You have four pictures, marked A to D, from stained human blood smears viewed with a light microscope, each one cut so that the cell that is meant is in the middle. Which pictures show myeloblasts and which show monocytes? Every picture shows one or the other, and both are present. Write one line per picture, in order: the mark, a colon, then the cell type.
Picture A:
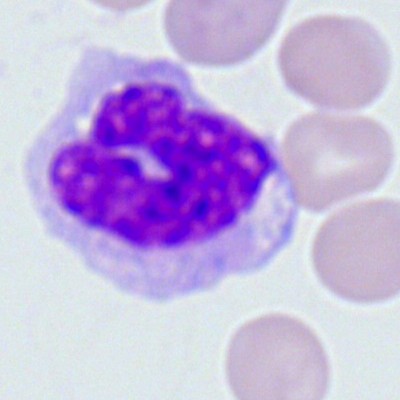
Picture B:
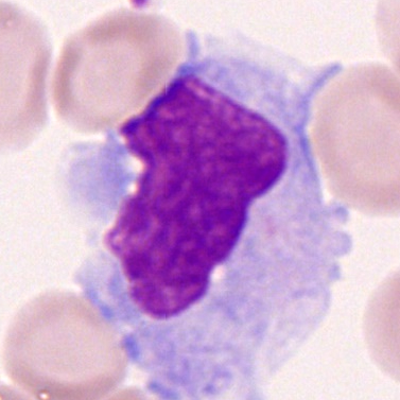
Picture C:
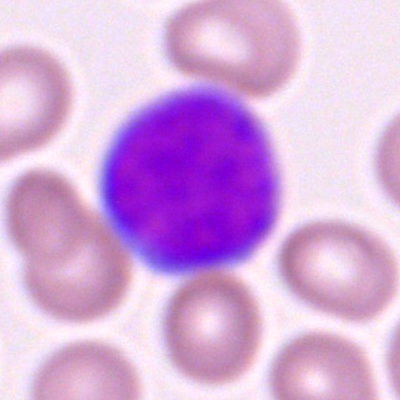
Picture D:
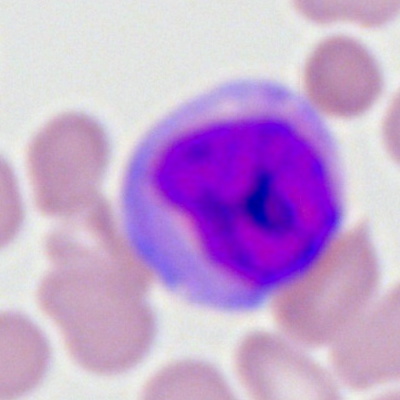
A: monocyte
B: monocyte
C: myeloblast
D: monocyte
